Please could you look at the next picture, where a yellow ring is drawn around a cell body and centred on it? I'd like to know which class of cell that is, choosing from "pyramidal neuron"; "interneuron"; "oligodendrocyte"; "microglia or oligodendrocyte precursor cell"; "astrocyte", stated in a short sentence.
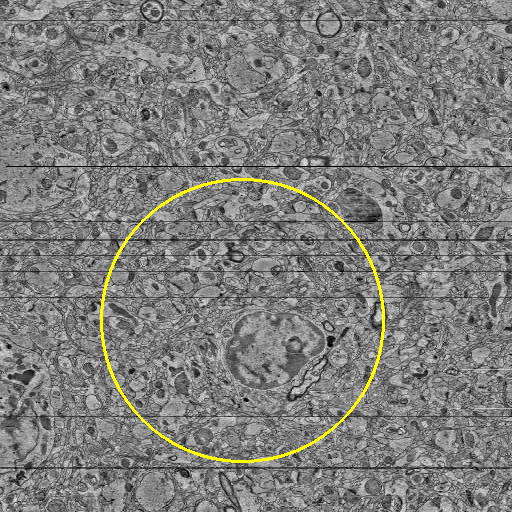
The ring's centre lies on a microglial cell or oligodendrocyte precursor cell.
